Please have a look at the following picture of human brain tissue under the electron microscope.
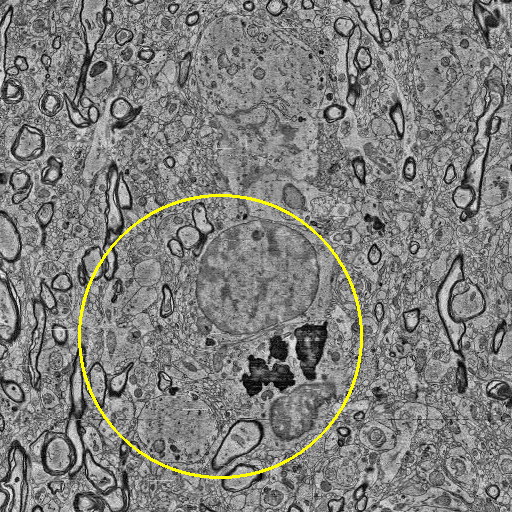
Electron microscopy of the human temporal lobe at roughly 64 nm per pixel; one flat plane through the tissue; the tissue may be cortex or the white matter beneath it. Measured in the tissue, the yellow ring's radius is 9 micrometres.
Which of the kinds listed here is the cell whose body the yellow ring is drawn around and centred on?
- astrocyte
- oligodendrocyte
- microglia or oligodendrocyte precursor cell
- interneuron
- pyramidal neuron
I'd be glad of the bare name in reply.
oligodendrocyte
